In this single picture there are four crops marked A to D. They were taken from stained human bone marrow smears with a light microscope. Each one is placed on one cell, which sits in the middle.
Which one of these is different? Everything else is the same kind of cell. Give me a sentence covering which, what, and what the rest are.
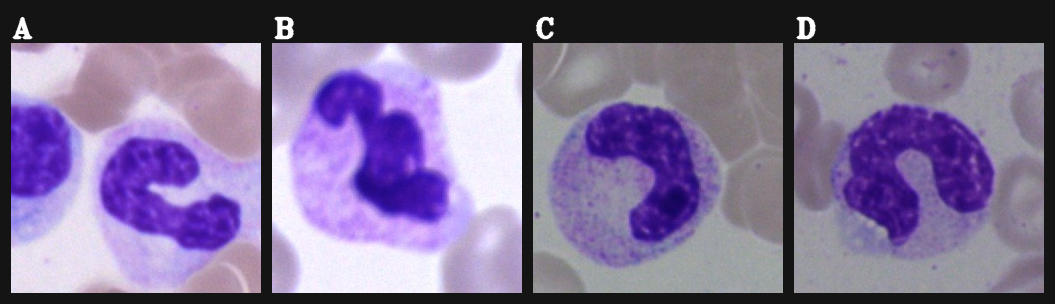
The rest of the crops show band neutrophils; crop B is the one showing a segmented neutrophil.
